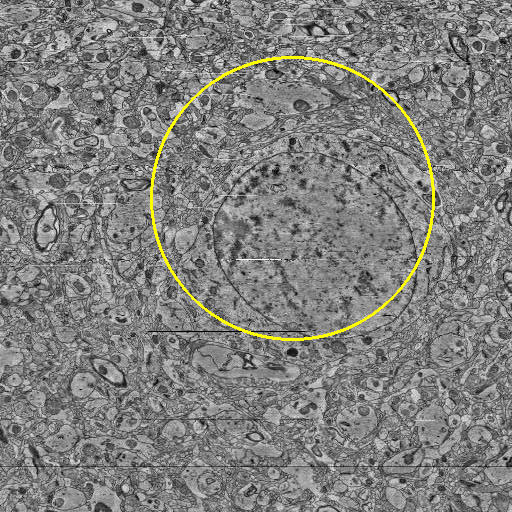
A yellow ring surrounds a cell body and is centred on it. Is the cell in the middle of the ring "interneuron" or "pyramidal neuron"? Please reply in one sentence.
The ring is centred on a pyramidal neuron.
